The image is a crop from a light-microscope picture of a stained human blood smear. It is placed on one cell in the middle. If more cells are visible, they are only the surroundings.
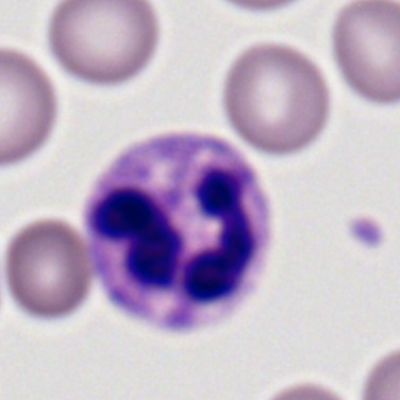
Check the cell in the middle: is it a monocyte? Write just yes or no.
no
